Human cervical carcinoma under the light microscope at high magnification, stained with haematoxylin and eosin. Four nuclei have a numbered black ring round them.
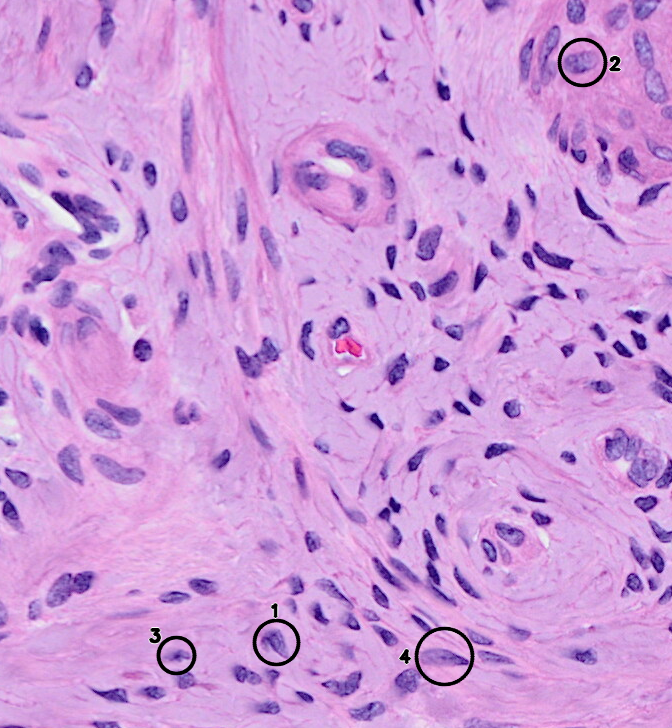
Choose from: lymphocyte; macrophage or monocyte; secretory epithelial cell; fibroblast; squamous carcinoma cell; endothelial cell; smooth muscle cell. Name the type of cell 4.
fibroblast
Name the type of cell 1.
fibroblast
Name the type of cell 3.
fibroblast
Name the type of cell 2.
smooth muscle cell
